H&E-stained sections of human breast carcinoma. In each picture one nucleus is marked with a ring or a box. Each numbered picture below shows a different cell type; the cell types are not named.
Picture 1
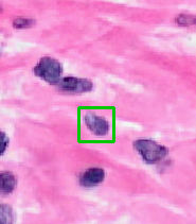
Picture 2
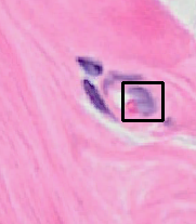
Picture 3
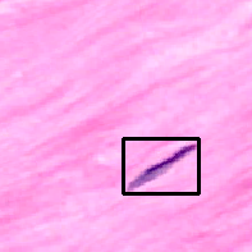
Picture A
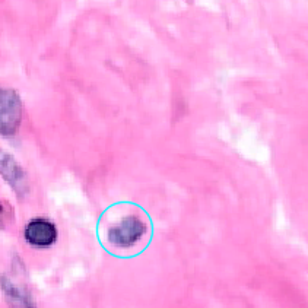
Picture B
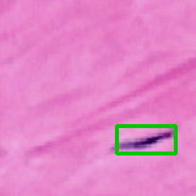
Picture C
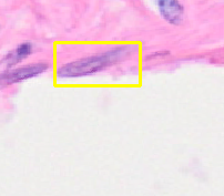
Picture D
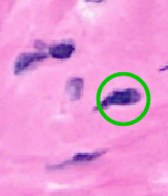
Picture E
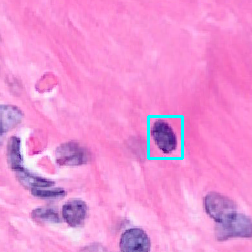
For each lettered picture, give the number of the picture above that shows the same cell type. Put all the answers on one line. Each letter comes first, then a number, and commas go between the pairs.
A 1, B 3, C 2, D 1, E 1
